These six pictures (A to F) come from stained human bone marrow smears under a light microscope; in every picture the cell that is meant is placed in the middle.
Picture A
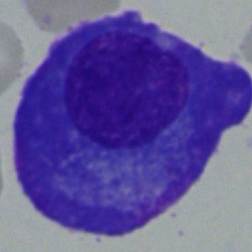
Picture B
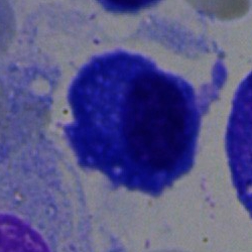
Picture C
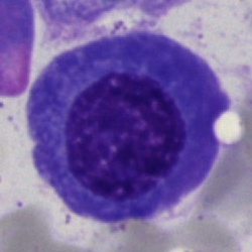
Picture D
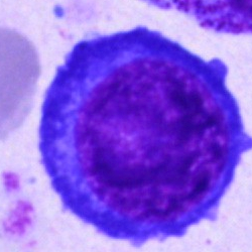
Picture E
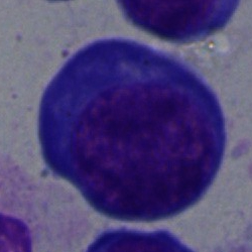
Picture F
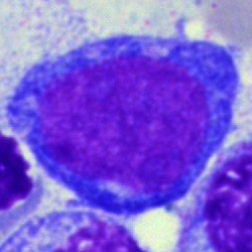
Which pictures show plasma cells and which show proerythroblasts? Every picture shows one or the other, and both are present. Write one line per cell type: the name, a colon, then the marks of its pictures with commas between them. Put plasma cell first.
plasma cell: A, B, C
proerythroblast: D, E, F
